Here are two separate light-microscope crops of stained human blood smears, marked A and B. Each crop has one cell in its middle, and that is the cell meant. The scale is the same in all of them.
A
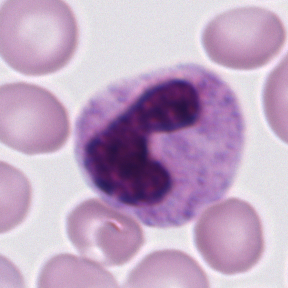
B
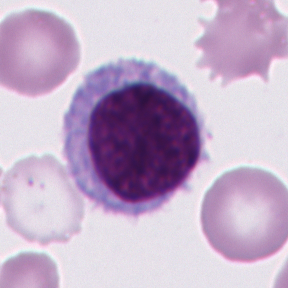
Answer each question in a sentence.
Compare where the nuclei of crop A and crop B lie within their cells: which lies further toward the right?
Seen within its cell, the nucleus in crop B lies further toward the right.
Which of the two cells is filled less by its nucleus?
In crop A the nucleus takes up the smaller part of its cell.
